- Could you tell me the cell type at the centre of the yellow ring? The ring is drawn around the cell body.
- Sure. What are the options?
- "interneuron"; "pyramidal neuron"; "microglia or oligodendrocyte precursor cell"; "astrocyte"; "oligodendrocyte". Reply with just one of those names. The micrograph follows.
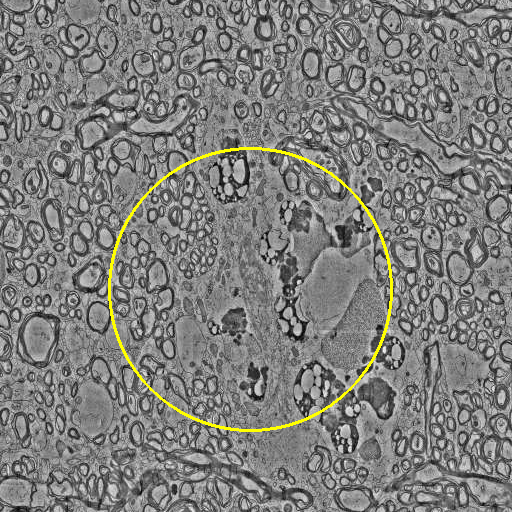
astrocyte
